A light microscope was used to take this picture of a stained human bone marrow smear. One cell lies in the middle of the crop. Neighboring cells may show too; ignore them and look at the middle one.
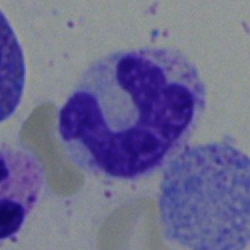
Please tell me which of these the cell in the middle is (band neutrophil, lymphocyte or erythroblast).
band neutrophil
